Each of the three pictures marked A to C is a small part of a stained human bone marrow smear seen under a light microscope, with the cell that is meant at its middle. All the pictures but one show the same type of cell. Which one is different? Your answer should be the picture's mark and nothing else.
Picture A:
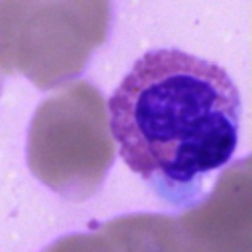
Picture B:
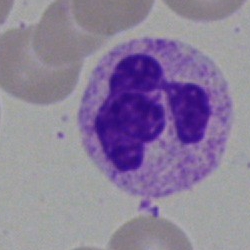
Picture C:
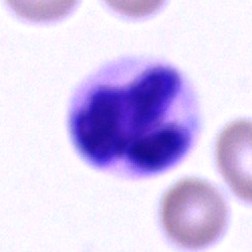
A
